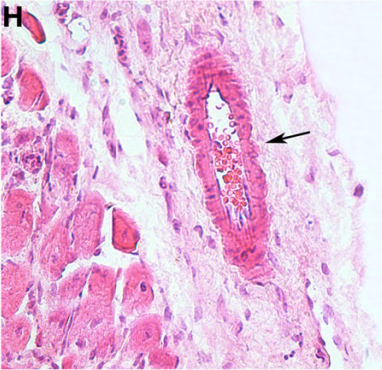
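At the edge of a muscle-like tissue lies a well-formed blood vessel, cut along its length: a lumen filled with red blood cells is surrounded by a thick wall of several layers of elongated cells with dark, flattened nuclei. Around it is loose, pale pink connective tissue with sparse cells.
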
